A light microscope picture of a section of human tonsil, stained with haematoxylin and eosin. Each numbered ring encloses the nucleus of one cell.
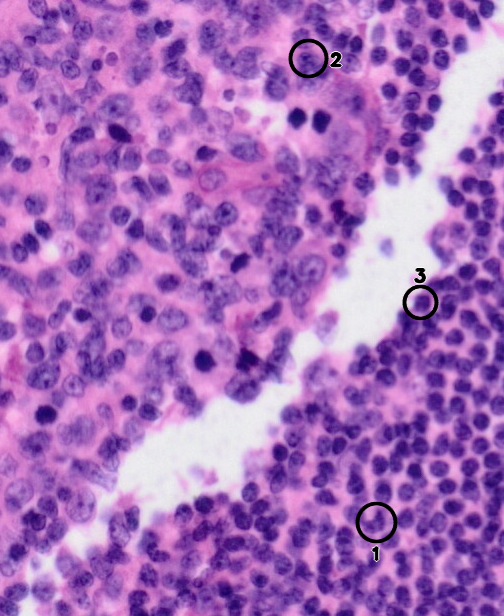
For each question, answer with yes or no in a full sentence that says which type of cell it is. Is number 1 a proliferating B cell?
No, the cell under number 1 is a small lymphocyte, not a proliferating B cell.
